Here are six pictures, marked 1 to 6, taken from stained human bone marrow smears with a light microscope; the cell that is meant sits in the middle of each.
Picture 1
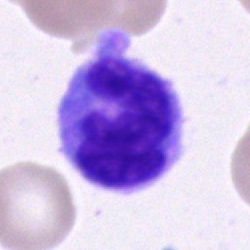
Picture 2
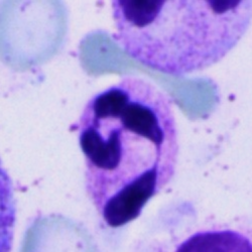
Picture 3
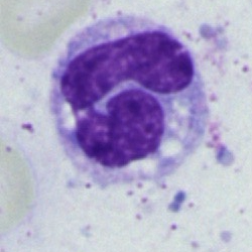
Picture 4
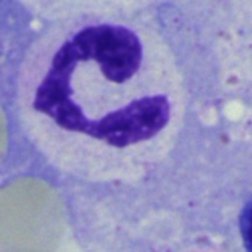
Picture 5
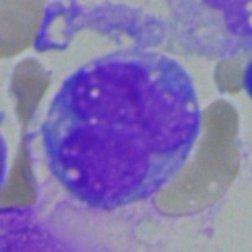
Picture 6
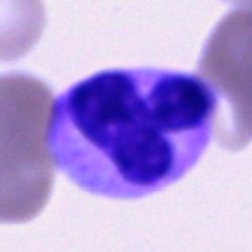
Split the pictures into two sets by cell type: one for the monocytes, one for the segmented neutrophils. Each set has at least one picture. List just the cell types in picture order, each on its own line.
monocyte
segmented neutrophil
monocyte
segmented neutrophil
monocyte
segmented neutrophil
